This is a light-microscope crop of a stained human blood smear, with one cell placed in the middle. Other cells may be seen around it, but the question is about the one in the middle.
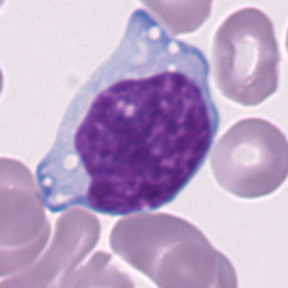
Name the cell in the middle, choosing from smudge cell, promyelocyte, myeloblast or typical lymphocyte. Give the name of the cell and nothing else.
myeloblast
